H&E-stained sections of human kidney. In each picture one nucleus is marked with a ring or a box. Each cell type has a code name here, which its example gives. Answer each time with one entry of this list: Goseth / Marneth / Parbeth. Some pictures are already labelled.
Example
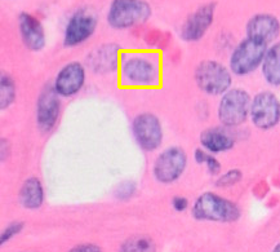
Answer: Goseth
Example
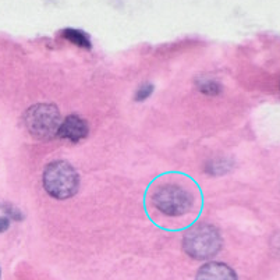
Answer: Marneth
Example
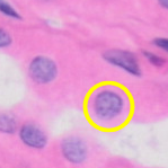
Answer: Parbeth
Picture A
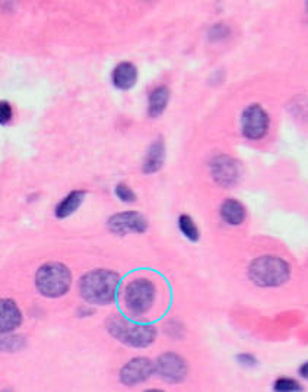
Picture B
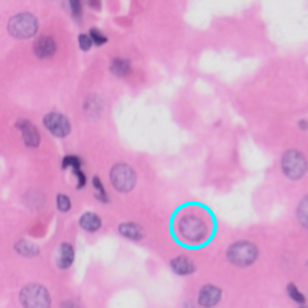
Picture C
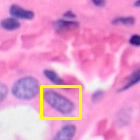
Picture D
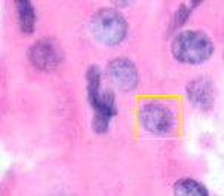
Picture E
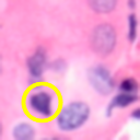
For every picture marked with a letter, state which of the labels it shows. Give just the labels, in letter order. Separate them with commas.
Goseth, Marneth, Goseth, Parbeth, Goseth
